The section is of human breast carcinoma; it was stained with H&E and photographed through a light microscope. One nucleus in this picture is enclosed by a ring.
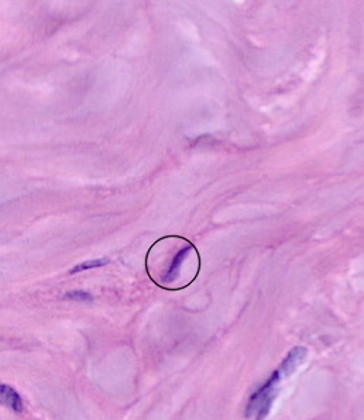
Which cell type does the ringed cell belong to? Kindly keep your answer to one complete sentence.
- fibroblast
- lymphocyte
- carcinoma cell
As classified here, the ringed cell is a fibroblast.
